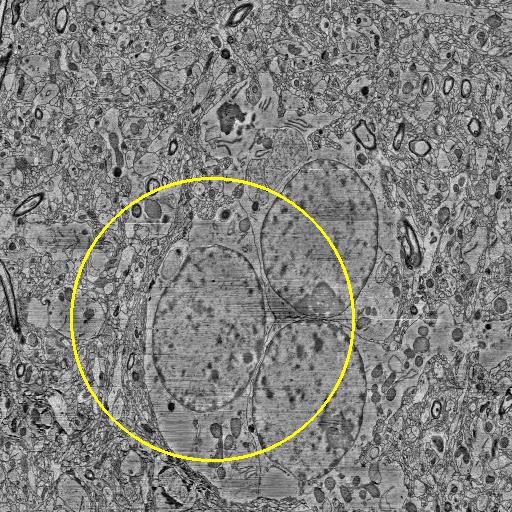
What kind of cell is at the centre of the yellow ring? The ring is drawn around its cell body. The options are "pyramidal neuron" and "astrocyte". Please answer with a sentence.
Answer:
The yellow ring marks the cell body of an astrocyte.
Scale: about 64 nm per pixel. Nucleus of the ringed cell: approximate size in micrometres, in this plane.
The nucleus measures about 11 by 7 micrometres, so it is clearly longer than it is wide in this plane.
